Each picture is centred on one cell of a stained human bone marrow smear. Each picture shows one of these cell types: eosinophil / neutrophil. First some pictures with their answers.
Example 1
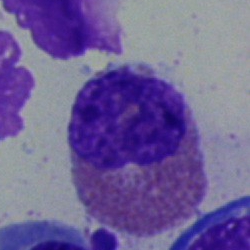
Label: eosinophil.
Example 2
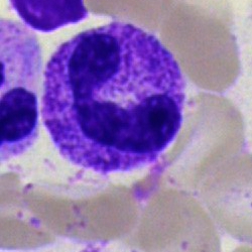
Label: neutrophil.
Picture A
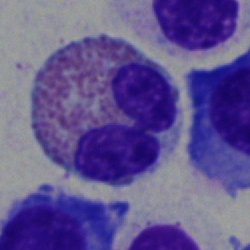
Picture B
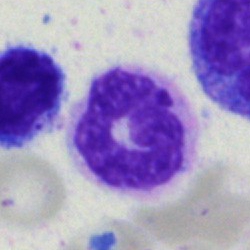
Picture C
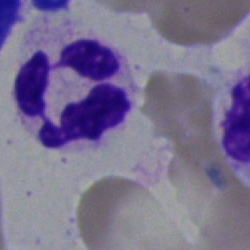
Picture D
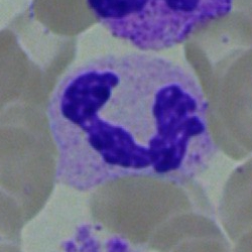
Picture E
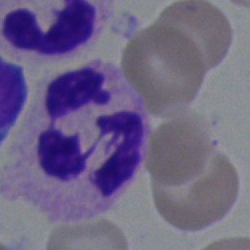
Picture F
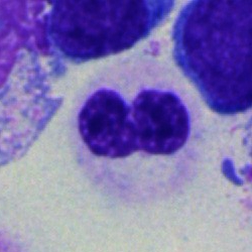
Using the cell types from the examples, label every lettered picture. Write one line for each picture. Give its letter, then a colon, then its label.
A: eosinophil.
B: neutrophil.
C: neutrophil.
D: neutrophil.
E: neutrophil.
F: neutrophil.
